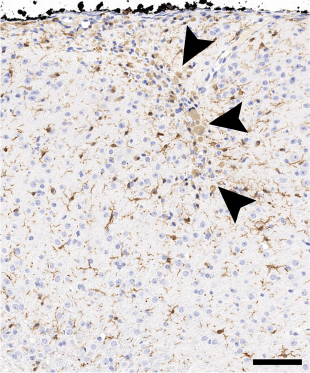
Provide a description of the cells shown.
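Along a track descending from the surface, marked by arrowheads, brown cells are crowded and rounder with fewer processes. Other nuclei are pale blue.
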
